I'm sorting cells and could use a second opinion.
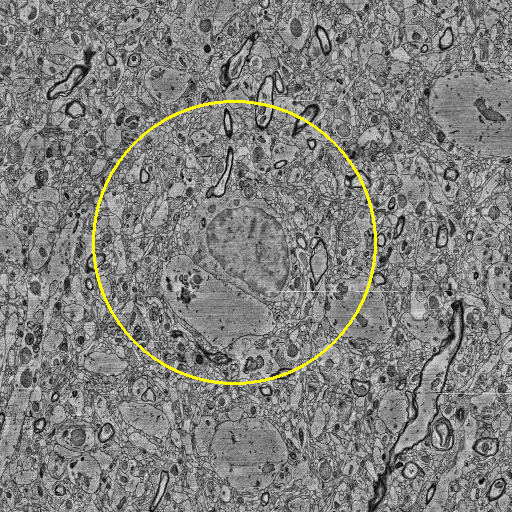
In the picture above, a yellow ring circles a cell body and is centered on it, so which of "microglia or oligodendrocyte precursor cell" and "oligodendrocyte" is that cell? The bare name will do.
oligodendrocyte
